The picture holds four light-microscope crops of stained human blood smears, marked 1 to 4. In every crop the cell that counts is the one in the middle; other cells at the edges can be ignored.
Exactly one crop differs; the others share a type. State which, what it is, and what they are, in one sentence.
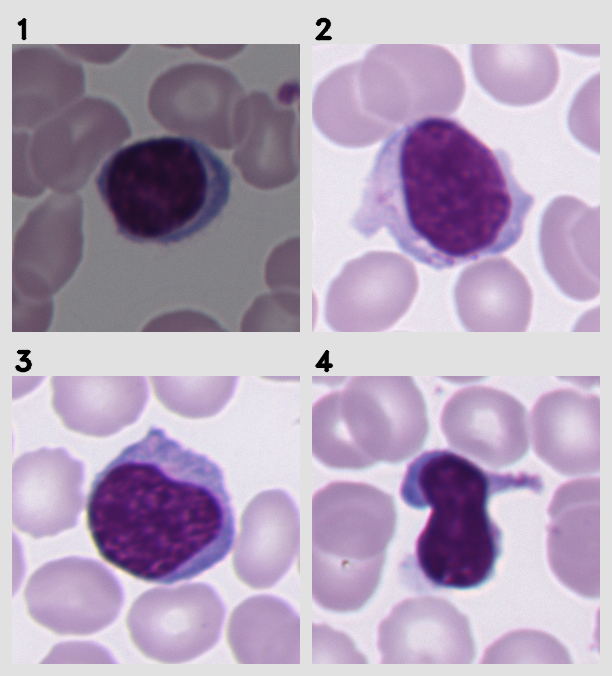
Apart from crop 2, a large granular lymphocyte, the crops all show typical lymphocytes.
